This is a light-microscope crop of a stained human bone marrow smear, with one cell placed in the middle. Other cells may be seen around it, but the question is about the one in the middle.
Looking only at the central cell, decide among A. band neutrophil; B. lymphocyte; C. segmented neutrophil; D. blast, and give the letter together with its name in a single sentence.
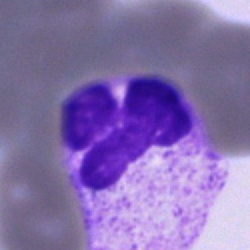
Option C holds up: the cell in the middle is a segmented neutrophil.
